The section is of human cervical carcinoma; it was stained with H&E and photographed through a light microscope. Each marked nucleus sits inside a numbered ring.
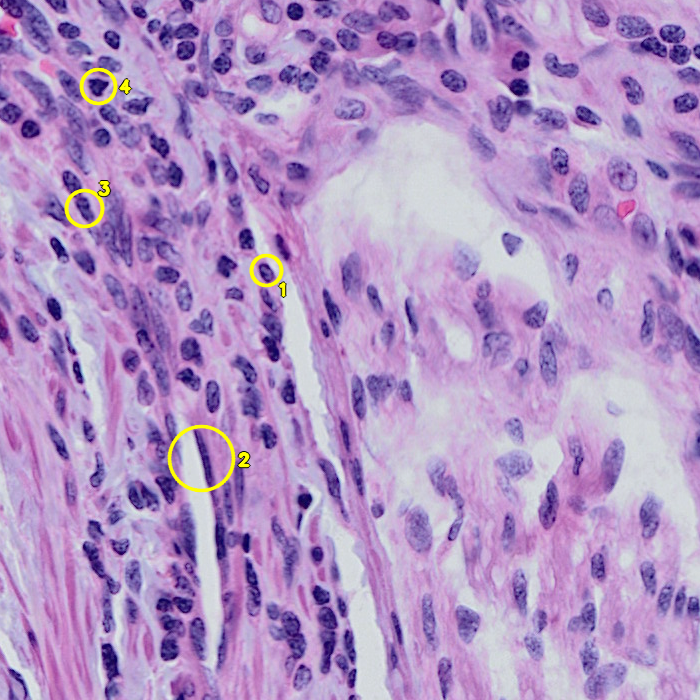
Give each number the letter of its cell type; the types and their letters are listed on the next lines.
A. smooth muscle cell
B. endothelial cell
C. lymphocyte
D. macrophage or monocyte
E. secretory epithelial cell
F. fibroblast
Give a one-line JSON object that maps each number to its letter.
{"1": "C", "2": "B", "3": "C", "4": "C"}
